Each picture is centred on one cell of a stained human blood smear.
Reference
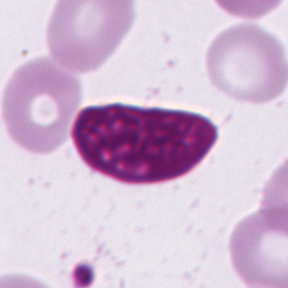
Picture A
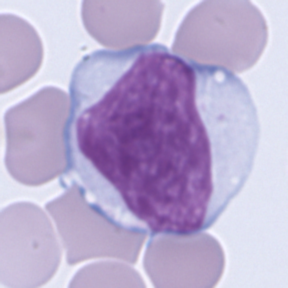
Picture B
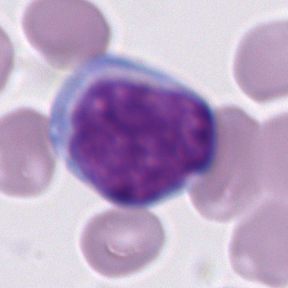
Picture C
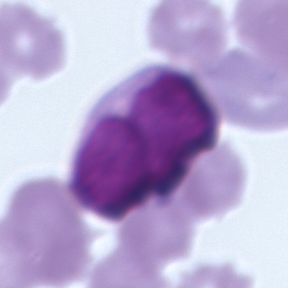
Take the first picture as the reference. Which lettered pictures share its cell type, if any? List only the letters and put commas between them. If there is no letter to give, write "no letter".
no letter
